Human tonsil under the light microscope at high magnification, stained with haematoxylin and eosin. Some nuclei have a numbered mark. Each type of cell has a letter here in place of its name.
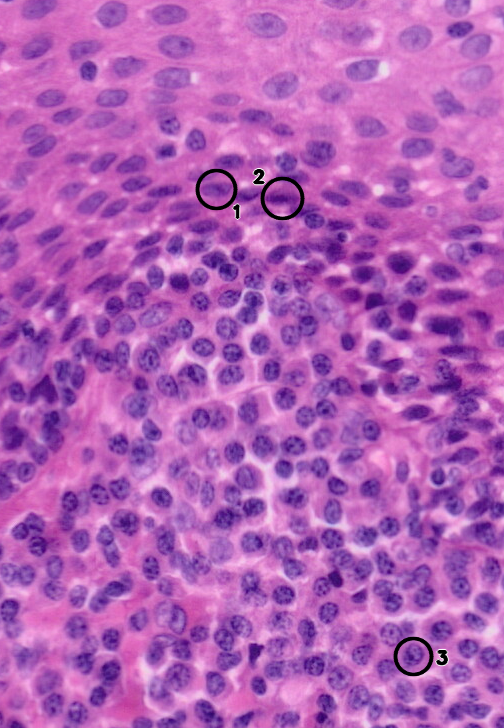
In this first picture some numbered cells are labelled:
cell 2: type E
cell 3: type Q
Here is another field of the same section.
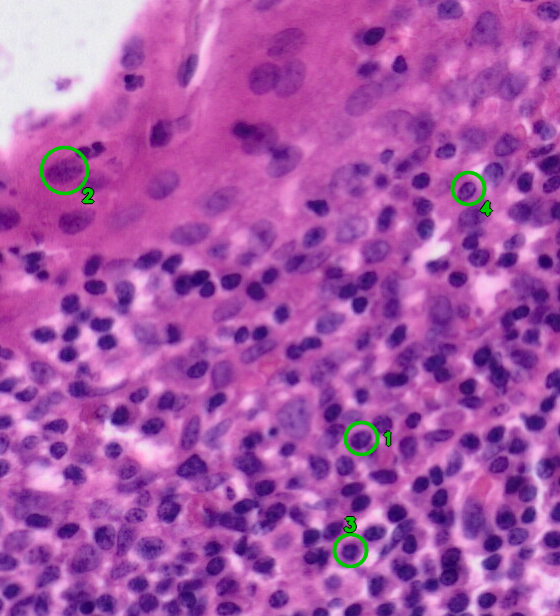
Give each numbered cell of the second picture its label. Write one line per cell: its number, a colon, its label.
1: type Q
2: type E
3: type Q
4: type Q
